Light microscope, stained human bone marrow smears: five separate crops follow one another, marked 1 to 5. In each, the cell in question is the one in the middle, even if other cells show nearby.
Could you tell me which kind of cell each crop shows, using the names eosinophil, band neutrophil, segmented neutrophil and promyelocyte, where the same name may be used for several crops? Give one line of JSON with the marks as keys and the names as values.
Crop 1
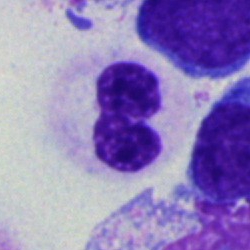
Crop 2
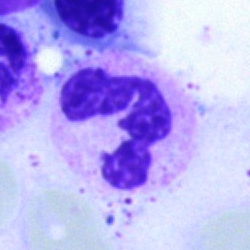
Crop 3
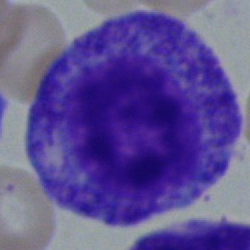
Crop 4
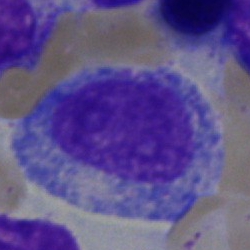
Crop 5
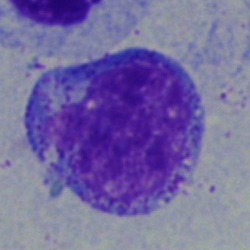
{"1": "segmented neutrophil", "2": "segmented neutrophil", "3": "promyelocyte", "4": "promyelocyte", "5": "promyelocyte"}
